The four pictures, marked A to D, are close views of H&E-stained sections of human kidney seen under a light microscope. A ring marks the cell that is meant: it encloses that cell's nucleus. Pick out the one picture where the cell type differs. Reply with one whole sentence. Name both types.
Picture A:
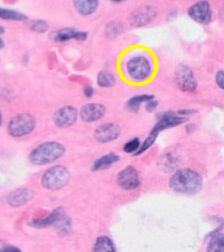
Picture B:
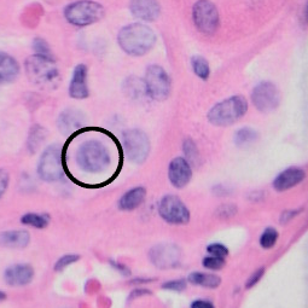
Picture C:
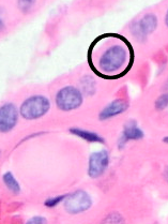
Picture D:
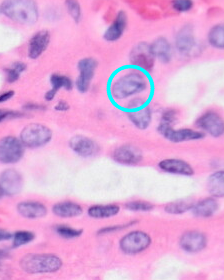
All pictures except A show collecting duct cells; picture A shows a “loop of Henle or distal tubule cell”.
